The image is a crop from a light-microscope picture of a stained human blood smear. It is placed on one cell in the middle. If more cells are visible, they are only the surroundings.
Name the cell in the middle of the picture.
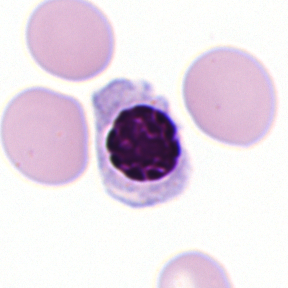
normoblast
